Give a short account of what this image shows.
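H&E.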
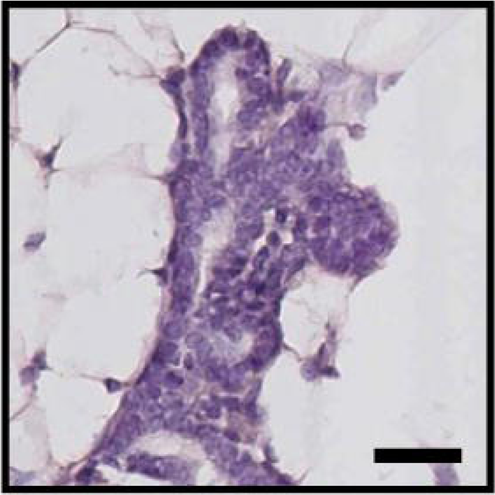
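A mammary duct within fatty stroma shows a thickened epithelium in which crowded purple nuclei are stacked in several layers. The epithelium bulges outward into irregular buds and narrows the lumen, unlike the thin single layer of a normal duct; pale fat cells lie around it.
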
